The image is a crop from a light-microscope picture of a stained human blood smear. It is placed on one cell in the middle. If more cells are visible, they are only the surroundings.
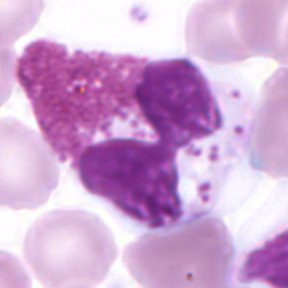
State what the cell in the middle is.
eosinophil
